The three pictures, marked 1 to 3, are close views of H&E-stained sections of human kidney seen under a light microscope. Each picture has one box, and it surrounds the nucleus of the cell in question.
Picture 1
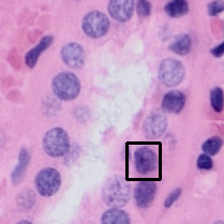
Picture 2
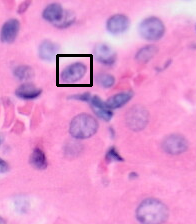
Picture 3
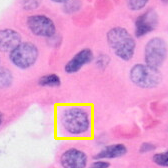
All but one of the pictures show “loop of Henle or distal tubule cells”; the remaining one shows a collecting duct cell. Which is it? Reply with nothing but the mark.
1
